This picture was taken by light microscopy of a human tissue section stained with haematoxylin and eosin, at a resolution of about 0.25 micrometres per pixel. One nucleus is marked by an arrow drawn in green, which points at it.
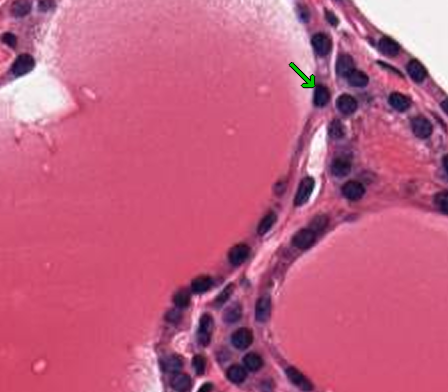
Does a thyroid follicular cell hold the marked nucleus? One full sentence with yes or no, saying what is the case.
Yes, in the picture the marked nucleus belongs to a thyroid follicular cell.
